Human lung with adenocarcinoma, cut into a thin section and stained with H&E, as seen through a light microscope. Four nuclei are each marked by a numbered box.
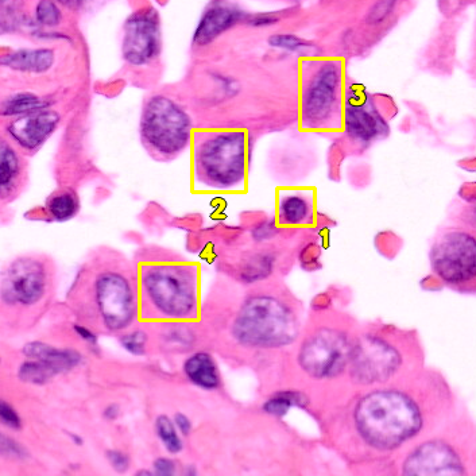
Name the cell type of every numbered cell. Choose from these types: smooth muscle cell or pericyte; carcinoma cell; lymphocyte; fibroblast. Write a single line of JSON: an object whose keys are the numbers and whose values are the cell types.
{"1": "lymphocyte", "2": "carcinoma cell", "3": "carcinoma cell", "4": "carcinoma cell"}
